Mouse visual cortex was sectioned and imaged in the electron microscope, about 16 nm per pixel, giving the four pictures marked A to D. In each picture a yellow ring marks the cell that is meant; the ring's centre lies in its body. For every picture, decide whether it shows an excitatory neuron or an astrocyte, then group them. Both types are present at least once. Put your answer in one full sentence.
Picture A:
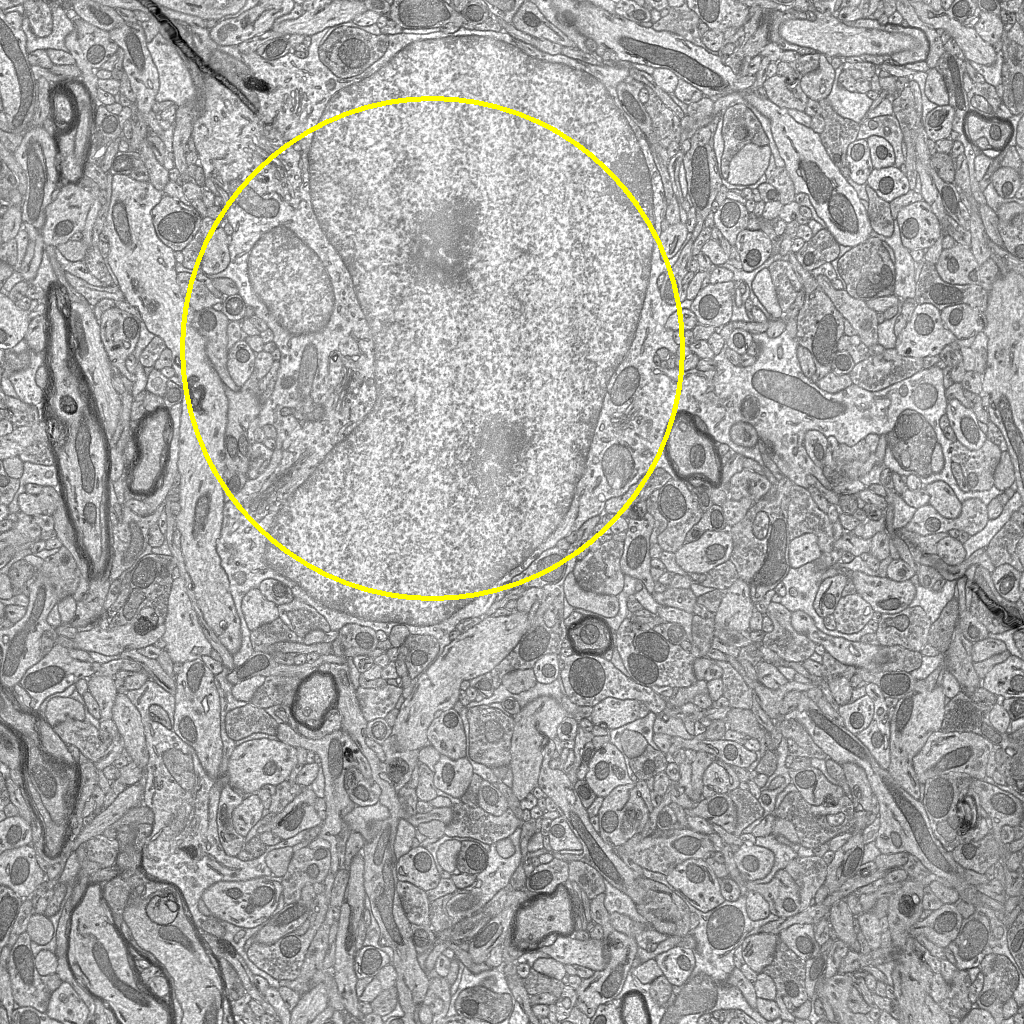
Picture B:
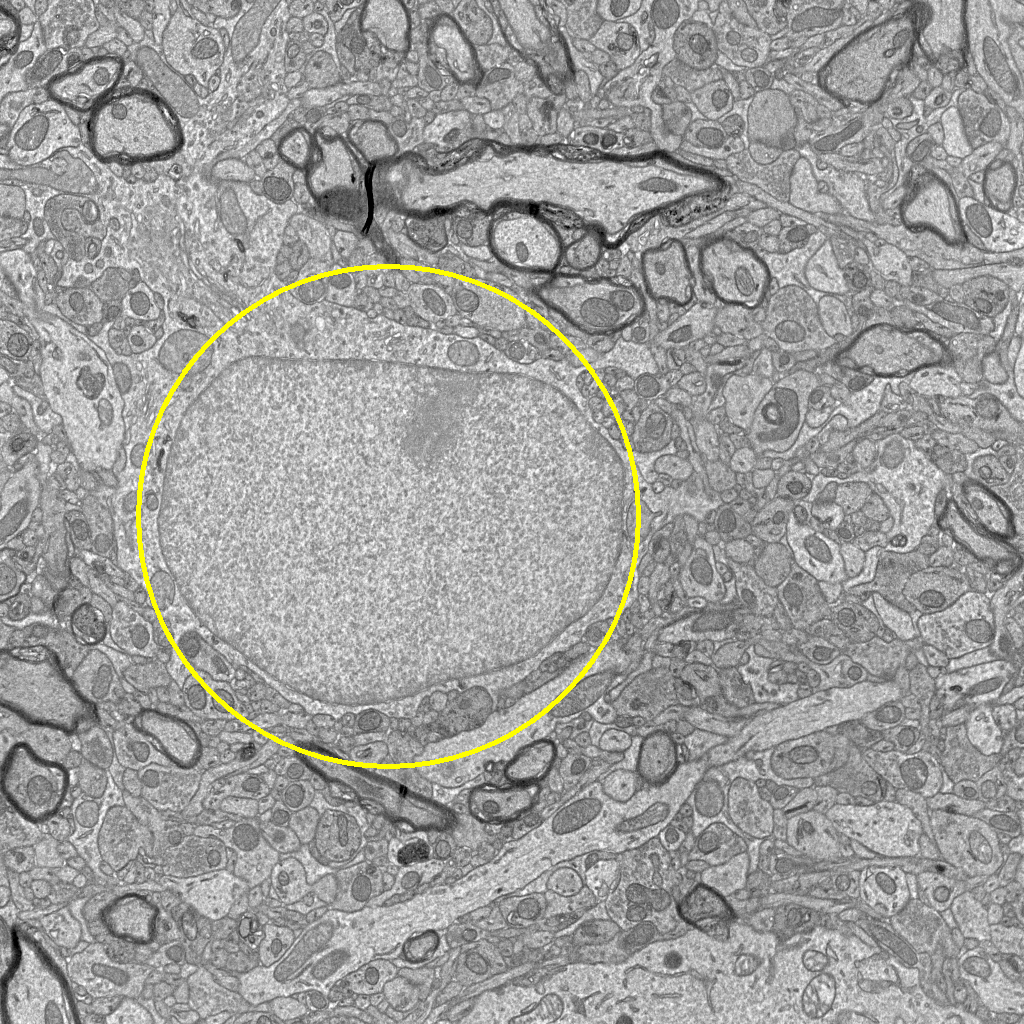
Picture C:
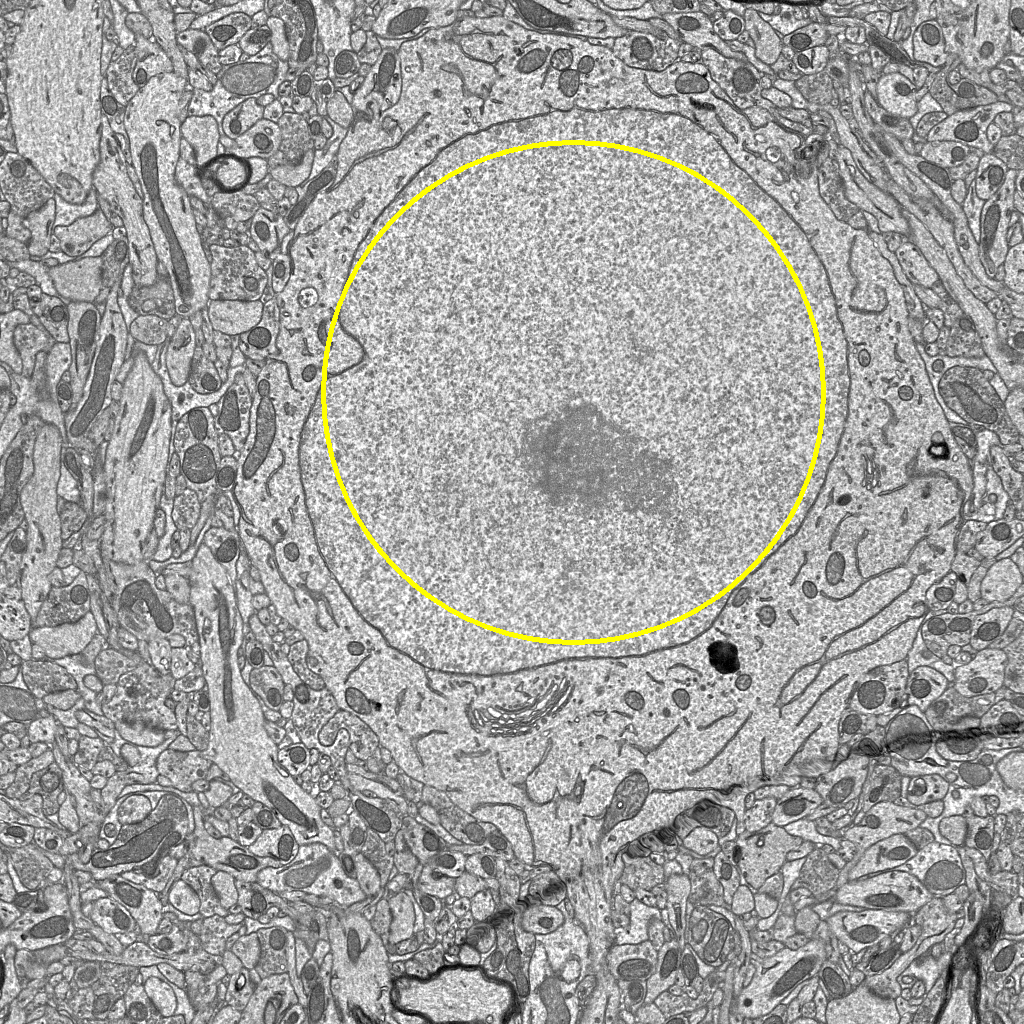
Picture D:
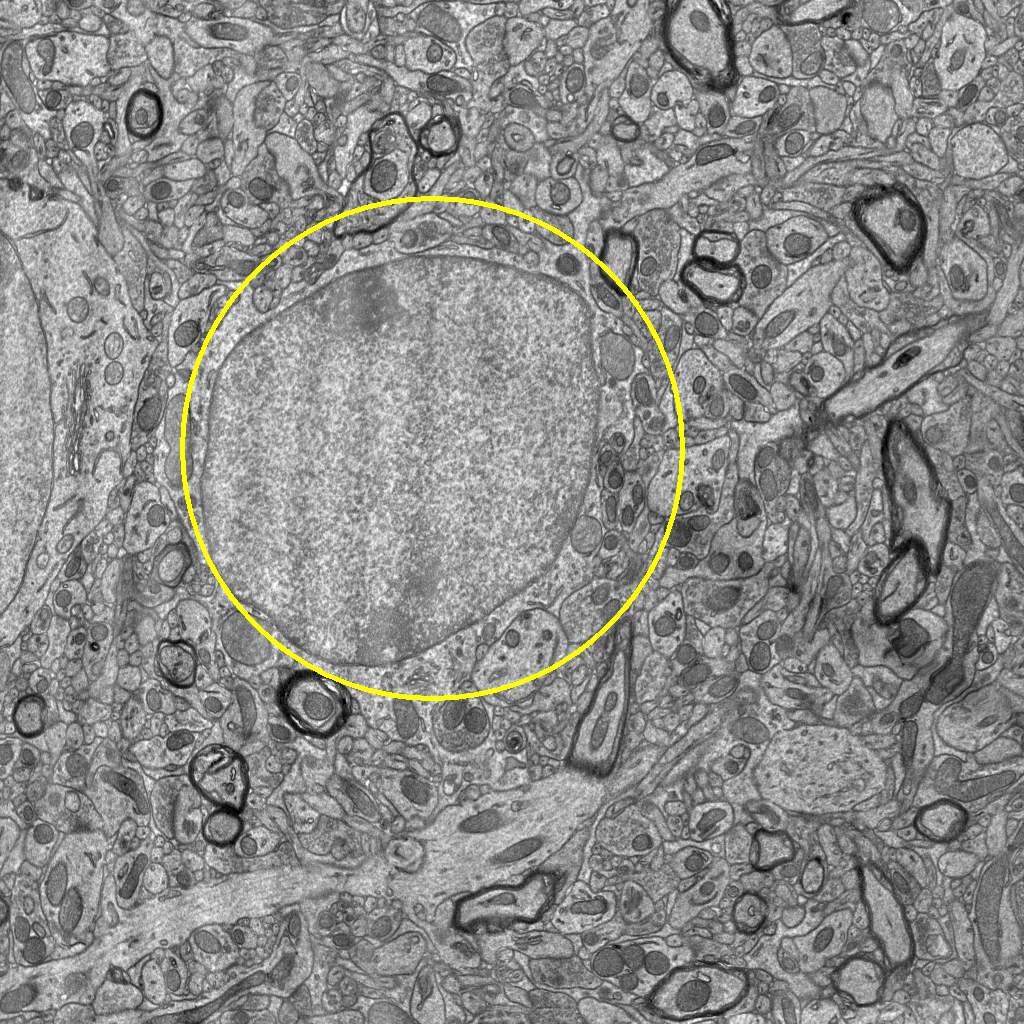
Picture C shows an excitatory neuron, and pictures A, B and D show astrocytes.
